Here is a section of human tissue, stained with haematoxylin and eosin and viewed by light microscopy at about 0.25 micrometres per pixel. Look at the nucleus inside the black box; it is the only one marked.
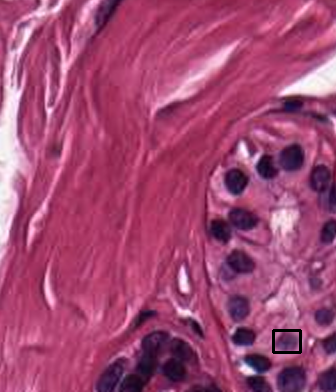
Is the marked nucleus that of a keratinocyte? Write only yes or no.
no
